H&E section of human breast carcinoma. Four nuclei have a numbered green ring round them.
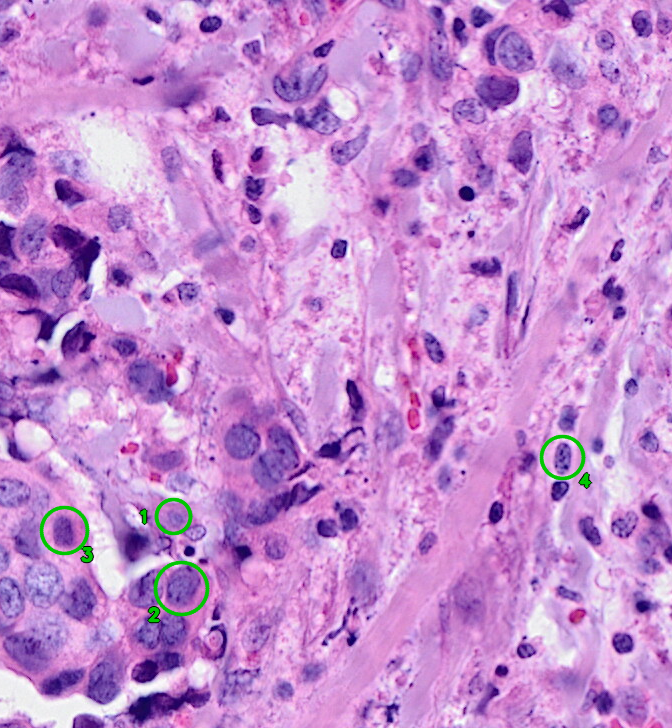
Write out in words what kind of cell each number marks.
Cell 1 is an endothelial cell. Cells 2 and 3 are carcinoma cells. Cell 4 is a mast cell.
